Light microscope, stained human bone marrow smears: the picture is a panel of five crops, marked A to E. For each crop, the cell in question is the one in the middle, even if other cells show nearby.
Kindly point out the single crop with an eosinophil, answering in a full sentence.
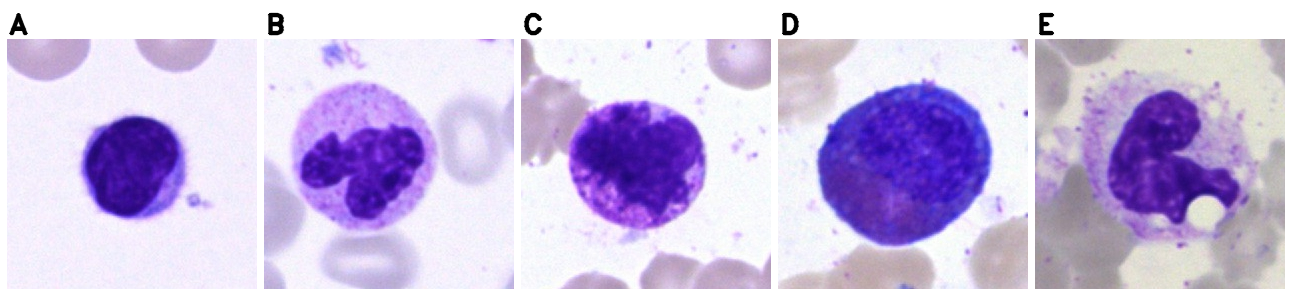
The cell identified as an eosinophil is the one in crop D.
